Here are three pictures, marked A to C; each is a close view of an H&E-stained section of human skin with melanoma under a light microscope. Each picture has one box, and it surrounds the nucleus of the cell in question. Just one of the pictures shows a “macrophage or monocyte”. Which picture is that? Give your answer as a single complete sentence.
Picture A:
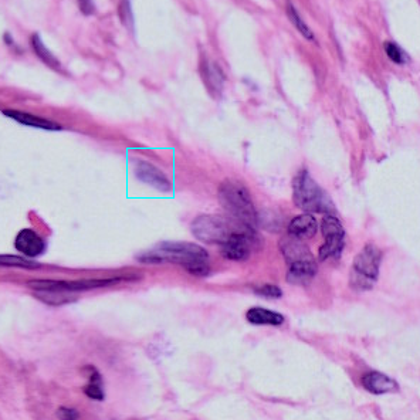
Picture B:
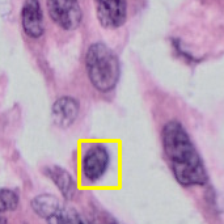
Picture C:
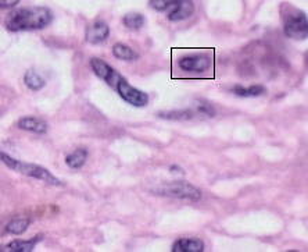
The picture with the “macrophage or monocyte” is C.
